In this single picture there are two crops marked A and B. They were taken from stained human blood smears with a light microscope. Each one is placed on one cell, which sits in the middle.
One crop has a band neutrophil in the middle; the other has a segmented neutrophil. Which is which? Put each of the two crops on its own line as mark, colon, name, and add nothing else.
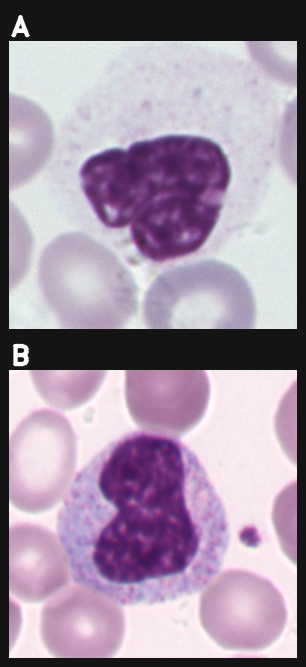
A: segmented neutrophil
B: band neutrophil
